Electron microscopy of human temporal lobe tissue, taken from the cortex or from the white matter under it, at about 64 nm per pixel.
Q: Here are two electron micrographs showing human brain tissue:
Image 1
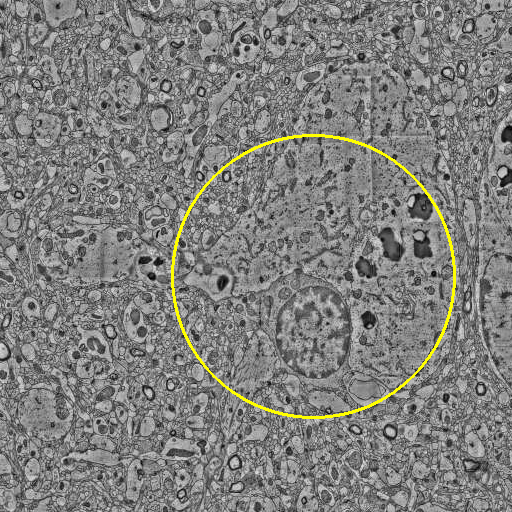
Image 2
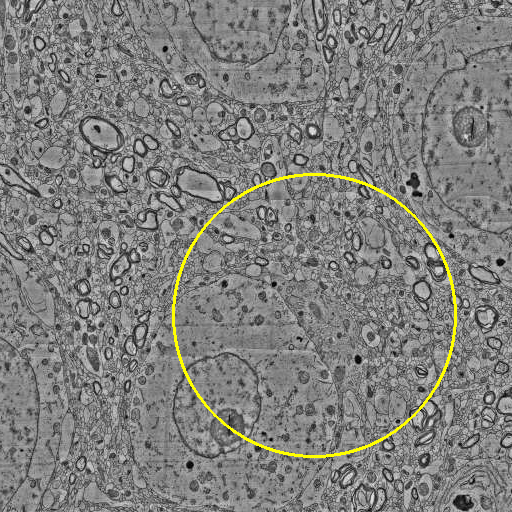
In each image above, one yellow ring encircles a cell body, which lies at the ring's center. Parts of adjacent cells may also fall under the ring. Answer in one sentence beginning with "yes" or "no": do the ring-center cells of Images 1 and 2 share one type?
Yes, in Images 1 and 2, the ring-center cells are both of one type.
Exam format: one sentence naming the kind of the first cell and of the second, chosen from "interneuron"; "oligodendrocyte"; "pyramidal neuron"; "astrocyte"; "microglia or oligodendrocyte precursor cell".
Each of the two rings is centred on an oligodendrocyte.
